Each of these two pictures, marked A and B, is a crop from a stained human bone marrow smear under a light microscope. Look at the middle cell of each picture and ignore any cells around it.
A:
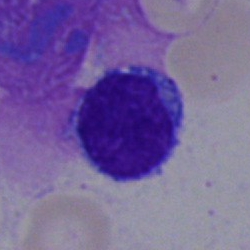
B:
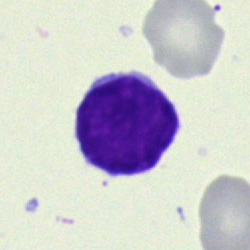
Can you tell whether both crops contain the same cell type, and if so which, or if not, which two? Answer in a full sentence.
Yes, it is lymphocytes that both crops show.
